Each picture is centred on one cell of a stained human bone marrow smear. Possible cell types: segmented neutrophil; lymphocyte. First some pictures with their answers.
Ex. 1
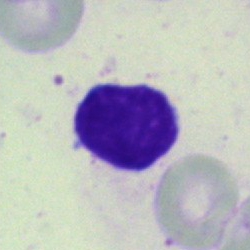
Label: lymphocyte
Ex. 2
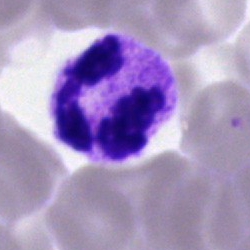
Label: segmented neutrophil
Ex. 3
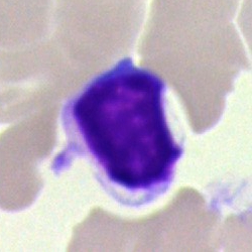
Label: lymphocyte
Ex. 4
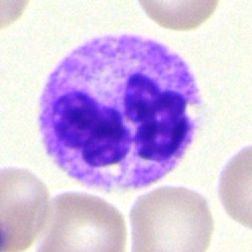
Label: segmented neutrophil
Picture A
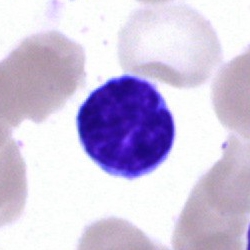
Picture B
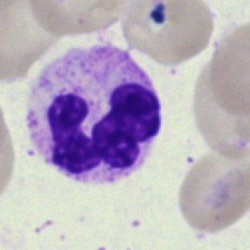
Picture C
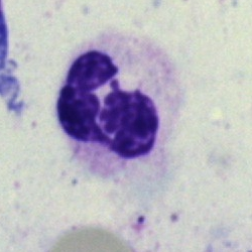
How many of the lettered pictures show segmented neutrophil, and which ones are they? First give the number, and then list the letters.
Count: 2 (B, C)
